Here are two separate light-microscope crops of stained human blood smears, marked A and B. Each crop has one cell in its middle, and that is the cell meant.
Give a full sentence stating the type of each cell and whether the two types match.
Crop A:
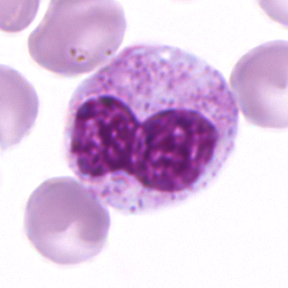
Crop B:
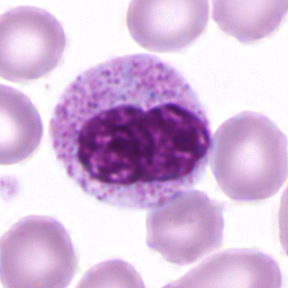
Yes, both the first crop and the second crop show band neutrophils.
